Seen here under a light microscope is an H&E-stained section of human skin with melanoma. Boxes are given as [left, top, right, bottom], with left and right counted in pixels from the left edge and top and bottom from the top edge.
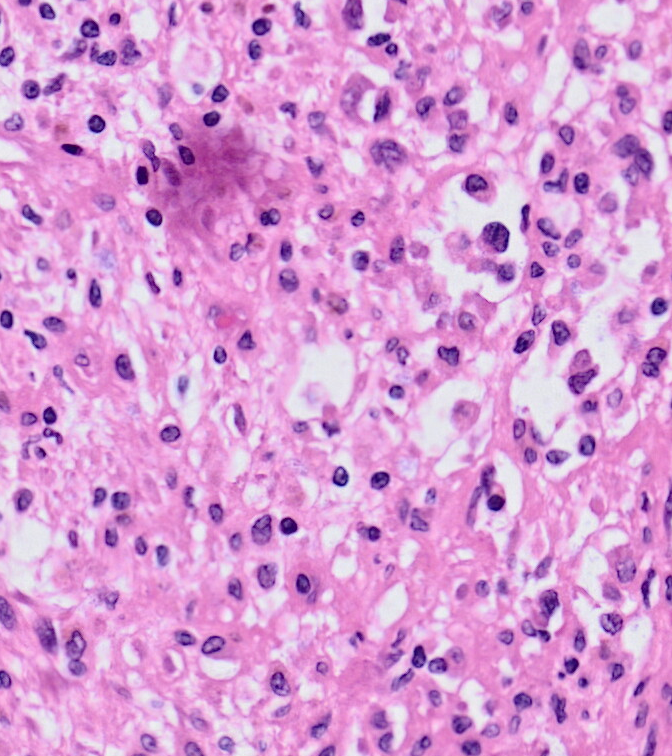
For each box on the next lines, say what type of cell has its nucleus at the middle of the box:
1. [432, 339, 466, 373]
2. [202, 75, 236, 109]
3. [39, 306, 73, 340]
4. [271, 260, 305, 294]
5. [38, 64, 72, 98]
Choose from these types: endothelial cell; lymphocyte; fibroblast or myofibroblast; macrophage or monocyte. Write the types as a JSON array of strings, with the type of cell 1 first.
["macrophage or monocyte", "lymphocyte", "macrophage or monocyte", "macrophage or monocyte", "fibroblast or myofibroblast"]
